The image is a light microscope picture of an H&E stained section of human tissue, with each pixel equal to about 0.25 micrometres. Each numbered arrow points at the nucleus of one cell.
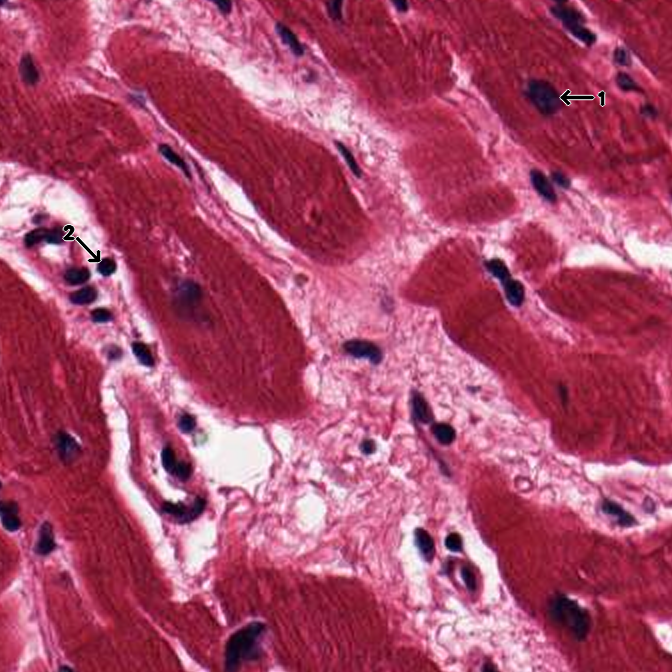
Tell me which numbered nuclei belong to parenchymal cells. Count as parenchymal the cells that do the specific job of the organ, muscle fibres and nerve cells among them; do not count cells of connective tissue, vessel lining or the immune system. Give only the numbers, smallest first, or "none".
1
